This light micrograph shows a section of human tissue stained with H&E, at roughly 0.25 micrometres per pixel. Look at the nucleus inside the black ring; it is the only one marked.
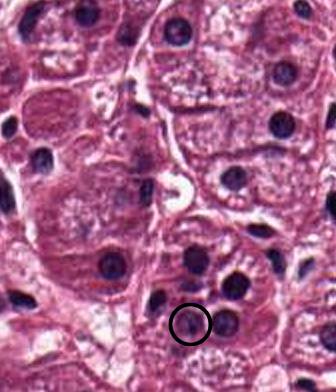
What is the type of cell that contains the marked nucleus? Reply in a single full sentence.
The nucleus bearing the mark belongs to an adrenal cortical cell.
